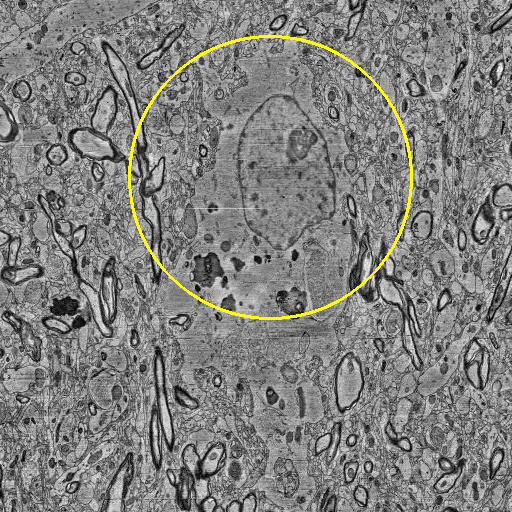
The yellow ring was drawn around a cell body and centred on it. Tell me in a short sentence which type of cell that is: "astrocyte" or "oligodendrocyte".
The cell at the ring's centre is an astrocyte.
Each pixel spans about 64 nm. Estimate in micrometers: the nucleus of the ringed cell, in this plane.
The nucleus comes to approximately 10 by 6 micrometres and is clearly longer than it is wide in this plane.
